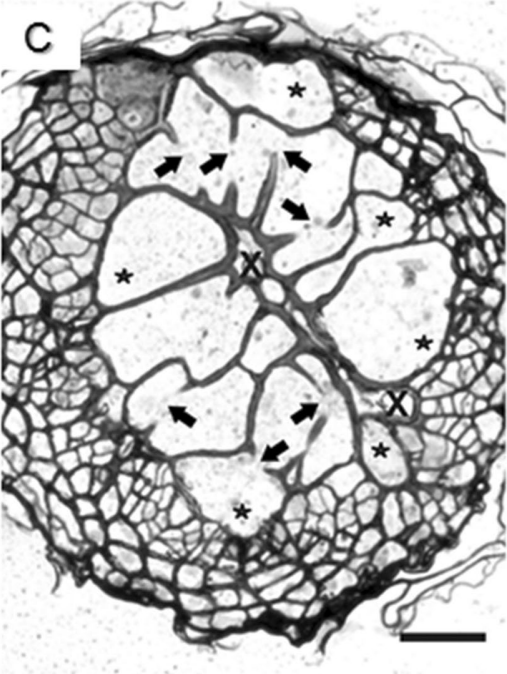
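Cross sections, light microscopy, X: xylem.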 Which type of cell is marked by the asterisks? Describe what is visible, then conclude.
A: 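Syncytial elements. The asterisks sit in greatly enlarged compartments in the root centre. They lie around the xylem and connect through gaps in their walls.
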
